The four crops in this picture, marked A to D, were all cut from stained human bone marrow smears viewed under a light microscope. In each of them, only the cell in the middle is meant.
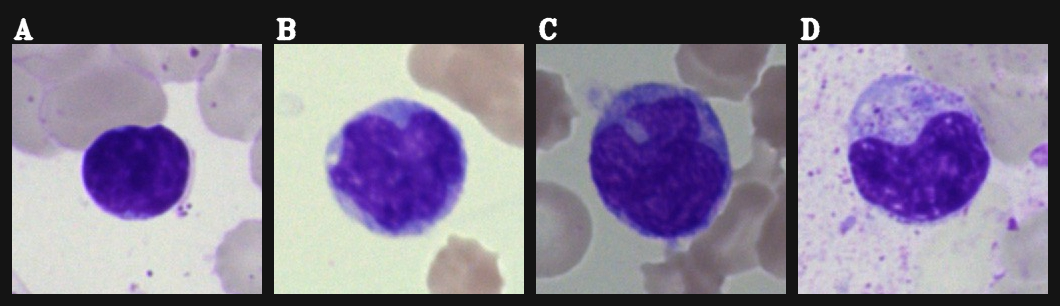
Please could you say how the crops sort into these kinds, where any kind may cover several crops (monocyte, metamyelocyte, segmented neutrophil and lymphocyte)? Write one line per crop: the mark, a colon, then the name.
A: lymphocyte
B: monocyte
C: monocyte
D: metamyelocyte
